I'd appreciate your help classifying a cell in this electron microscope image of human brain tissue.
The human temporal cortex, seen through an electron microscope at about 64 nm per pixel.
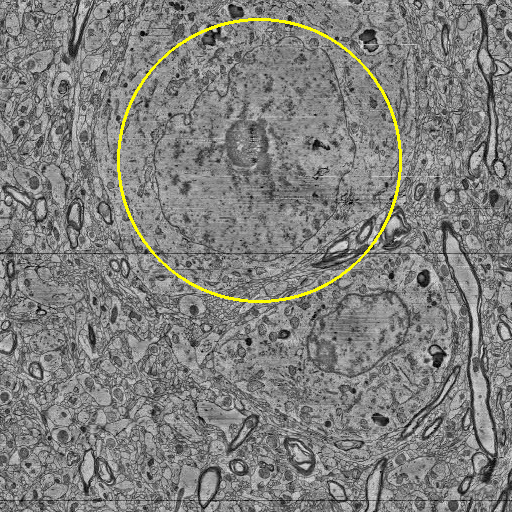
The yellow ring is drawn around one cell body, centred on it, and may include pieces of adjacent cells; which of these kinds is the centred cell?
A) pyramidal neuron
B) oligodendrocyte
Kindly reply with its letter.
A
